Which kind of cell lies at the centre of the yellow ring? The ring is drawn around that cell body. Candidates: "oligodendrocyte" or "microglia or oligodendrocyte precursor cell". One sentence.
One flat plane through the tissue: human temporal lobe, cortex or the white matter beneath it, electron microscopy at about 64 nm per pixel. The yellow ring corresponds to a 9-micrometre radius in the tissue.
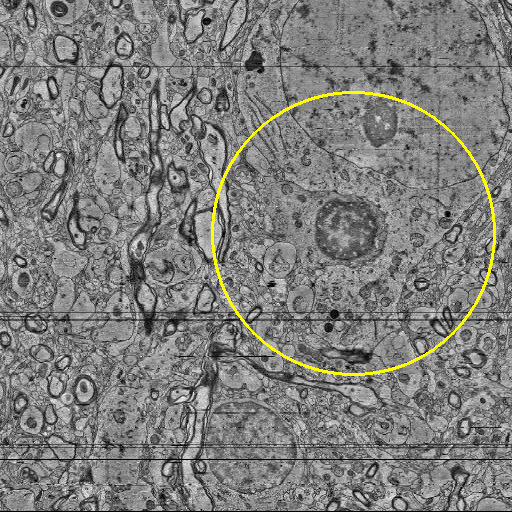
Lying at the centre of the ring is an oligodendrocyte.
